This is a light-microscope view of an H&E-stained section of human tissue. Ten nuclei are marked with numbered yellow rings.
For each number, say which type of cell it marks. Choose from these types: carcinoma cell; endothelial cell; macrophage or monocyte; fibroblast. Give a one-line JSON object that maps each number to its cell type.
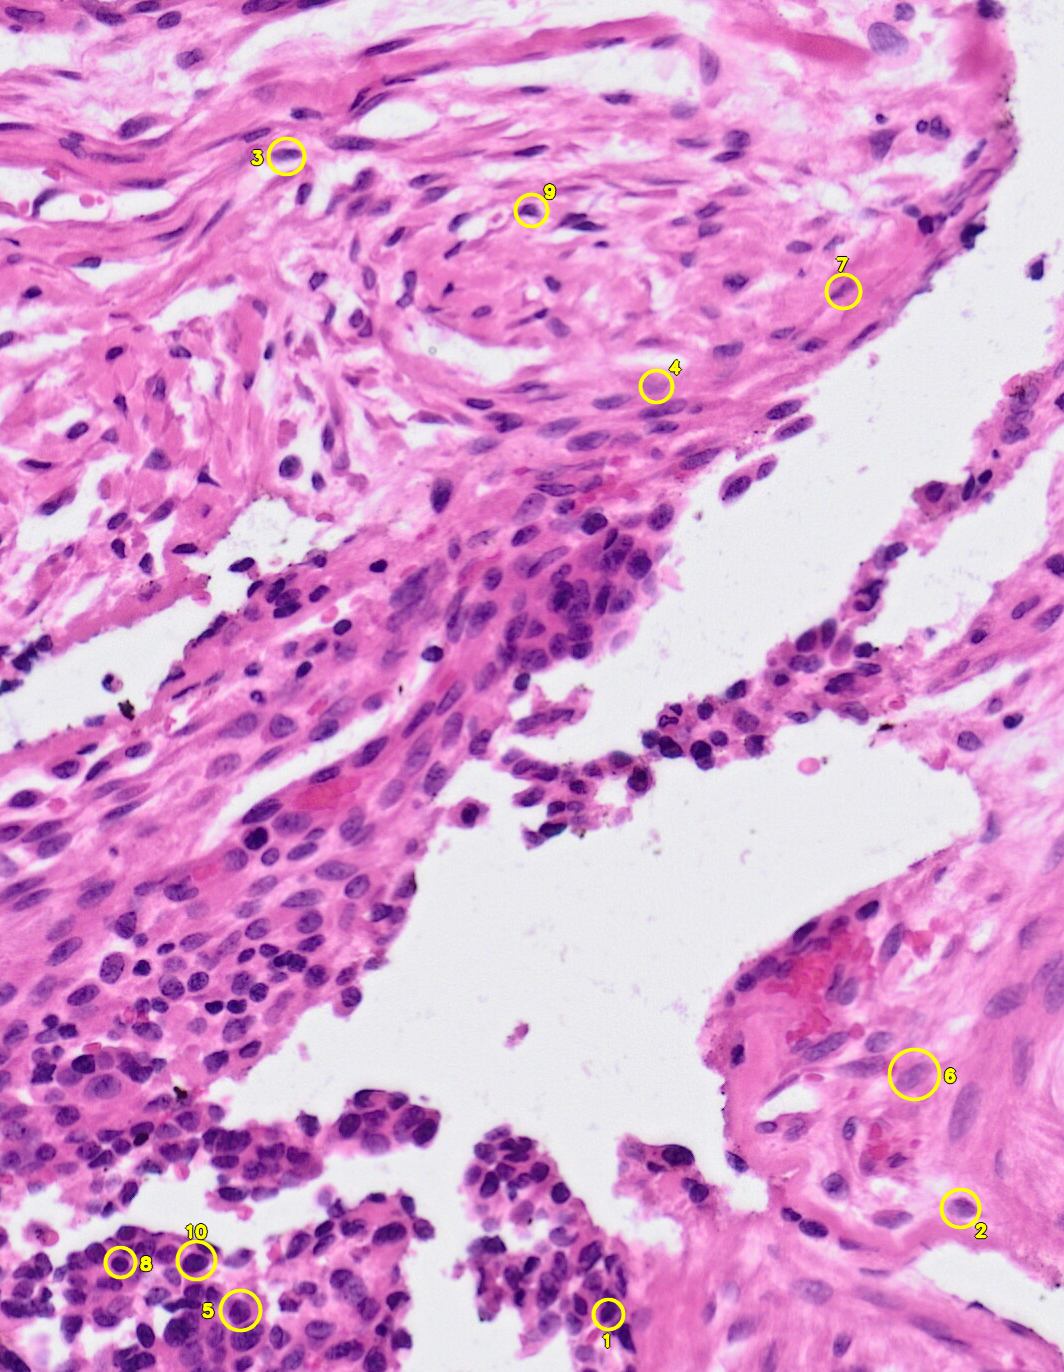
{"1": "carcinoma cell", "2": "fibroblast", "3": "fibroblast", "4": "fibroblast", "5": "carcinoma cell", "6": "fibroblast", "7": "fibroblast", "8": "carcinoma cell", "9": "fibroblast", "10": "carcinoma cell"}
